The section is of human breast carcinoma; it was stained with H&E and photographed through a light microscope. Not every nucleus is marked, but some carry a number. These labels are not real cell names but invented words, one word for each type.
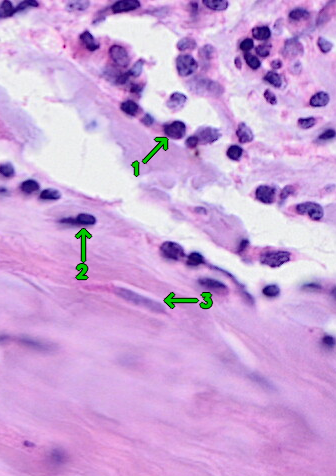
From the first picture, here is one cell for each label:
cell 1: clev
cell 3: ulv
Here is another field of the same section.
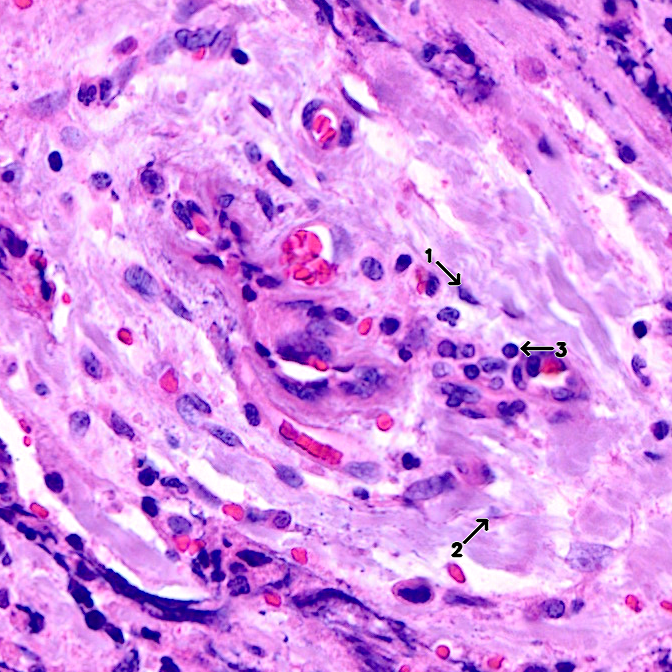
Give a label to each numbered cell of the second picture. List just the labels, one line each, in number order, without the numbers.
ulv
ulv
clev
